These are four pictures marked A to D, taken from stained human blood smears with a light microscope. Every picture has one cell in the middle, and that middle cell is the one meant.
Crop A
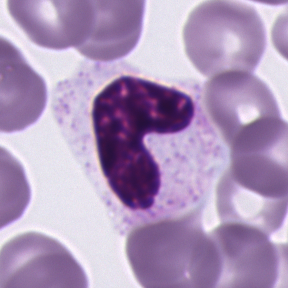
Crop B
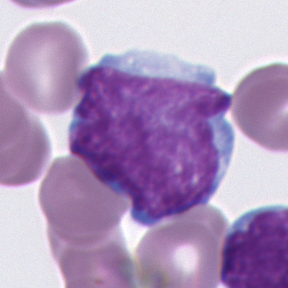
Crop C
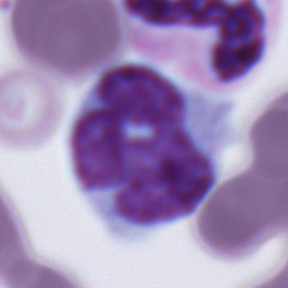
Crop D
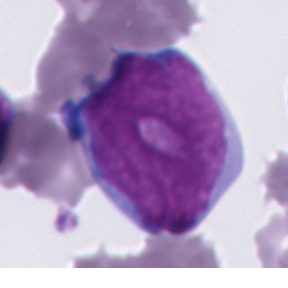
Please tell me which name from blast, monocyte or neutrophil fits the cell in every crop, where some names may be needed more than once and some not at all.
A: neutrophil
B: blast
C: monocyte
D: blast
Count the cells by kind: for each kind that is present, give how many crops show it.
blast: 2
neutrophil: 1
monocyte: 1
